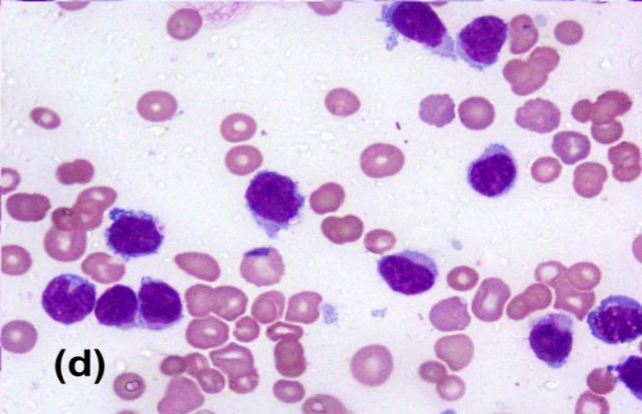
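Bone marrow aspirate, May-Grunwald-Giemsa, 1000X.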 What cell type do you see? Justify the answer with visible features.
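Atypical lymphoid cells. Several medium-sized nucleated cells with round to oval nuclei.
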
